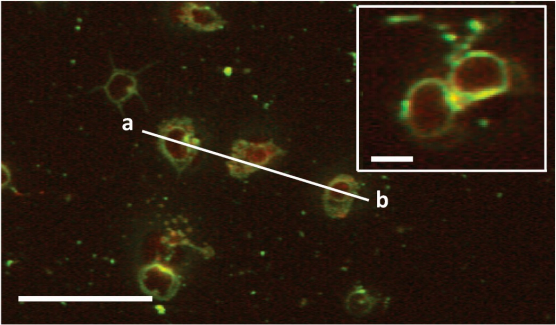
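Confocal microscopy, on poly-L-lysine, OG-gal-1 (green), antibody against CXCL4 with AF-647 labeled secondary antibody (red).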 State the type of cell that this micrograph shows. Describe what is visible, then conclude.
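Spread platelets. Small flattened cell bodies scattered singly over the surface. Some bodies send out thin spiky processes.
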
